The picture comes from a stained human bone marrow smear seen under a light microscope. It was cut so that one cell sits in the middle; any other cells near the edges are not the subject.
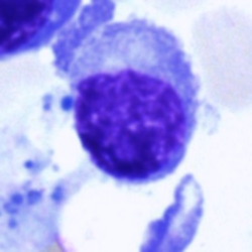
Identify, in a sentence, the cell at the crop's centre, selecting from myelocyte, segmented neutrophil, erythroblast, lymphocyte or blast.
The central cell shown in this smear crop is a lymphocyte.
